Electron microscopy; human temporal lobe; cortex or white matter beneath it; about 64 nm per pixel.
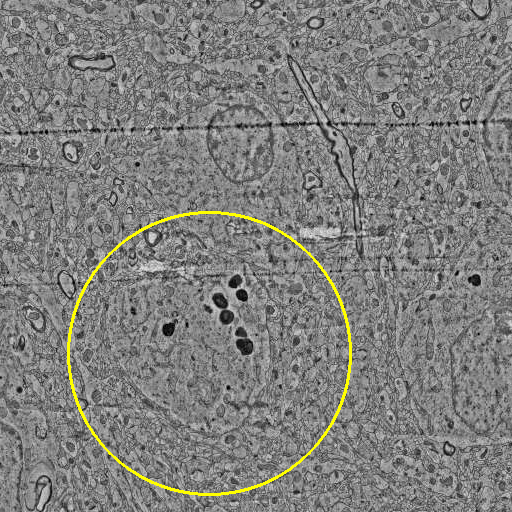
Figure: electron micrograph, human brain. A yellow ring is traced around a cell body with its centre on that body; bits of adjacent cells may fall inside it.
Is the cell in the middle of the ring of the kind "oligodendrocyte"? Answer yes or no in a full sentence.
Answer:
No, another kind applies to the cell centred within the yellow ring of the picture.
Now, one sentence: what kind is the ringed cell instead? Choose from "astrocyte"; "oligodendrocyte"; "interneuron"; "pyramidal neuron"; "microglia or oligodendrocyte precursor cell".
The ring holds a pyramidal neuron at its centre.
